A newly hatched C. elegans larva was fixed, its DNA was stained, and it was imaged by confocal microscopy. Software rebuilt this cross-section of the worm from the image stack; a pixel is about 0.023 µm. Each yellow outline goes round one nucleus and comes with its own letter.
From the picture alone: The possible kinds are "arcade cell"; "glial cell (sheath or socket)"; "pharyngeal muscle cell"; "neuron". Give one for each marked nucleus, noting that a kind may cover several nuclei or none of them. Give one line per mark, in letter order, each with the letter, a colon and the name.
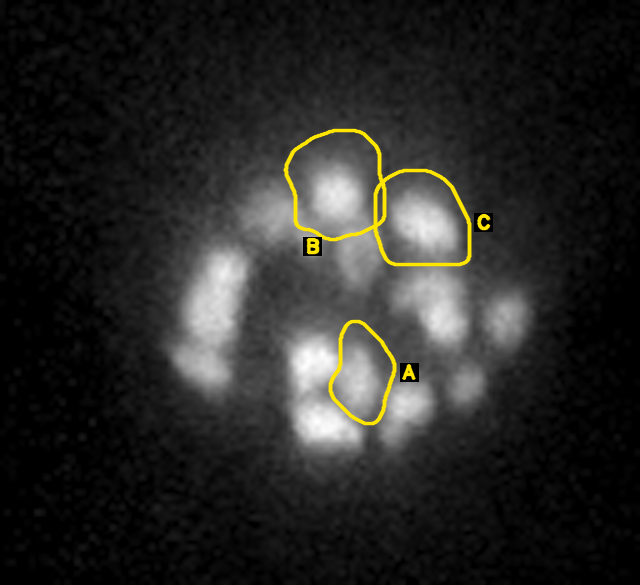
A: pharyngeal muscle cell
B: glial cell (sheath or socket)
C: arcade cell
